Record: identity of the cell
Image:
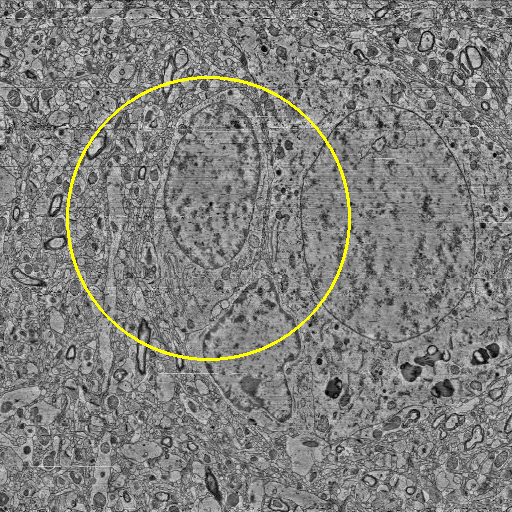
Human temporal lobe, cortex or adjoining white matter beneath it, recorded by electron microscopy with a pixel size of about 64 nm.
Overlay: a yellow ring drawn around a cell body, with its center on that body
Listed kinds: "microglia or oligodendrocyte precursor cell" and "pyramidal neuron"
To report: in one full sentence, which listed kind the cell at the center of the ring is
In the image, the cell body at the ring's center belongs to a microglial cell or oligodendrocyte precursor cell.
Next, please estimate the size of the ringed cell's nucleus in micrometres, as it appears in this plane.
Roughly 11 micrometres by 6 micrometres, so the nucleus is clearly longer than it is wide in this plane.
